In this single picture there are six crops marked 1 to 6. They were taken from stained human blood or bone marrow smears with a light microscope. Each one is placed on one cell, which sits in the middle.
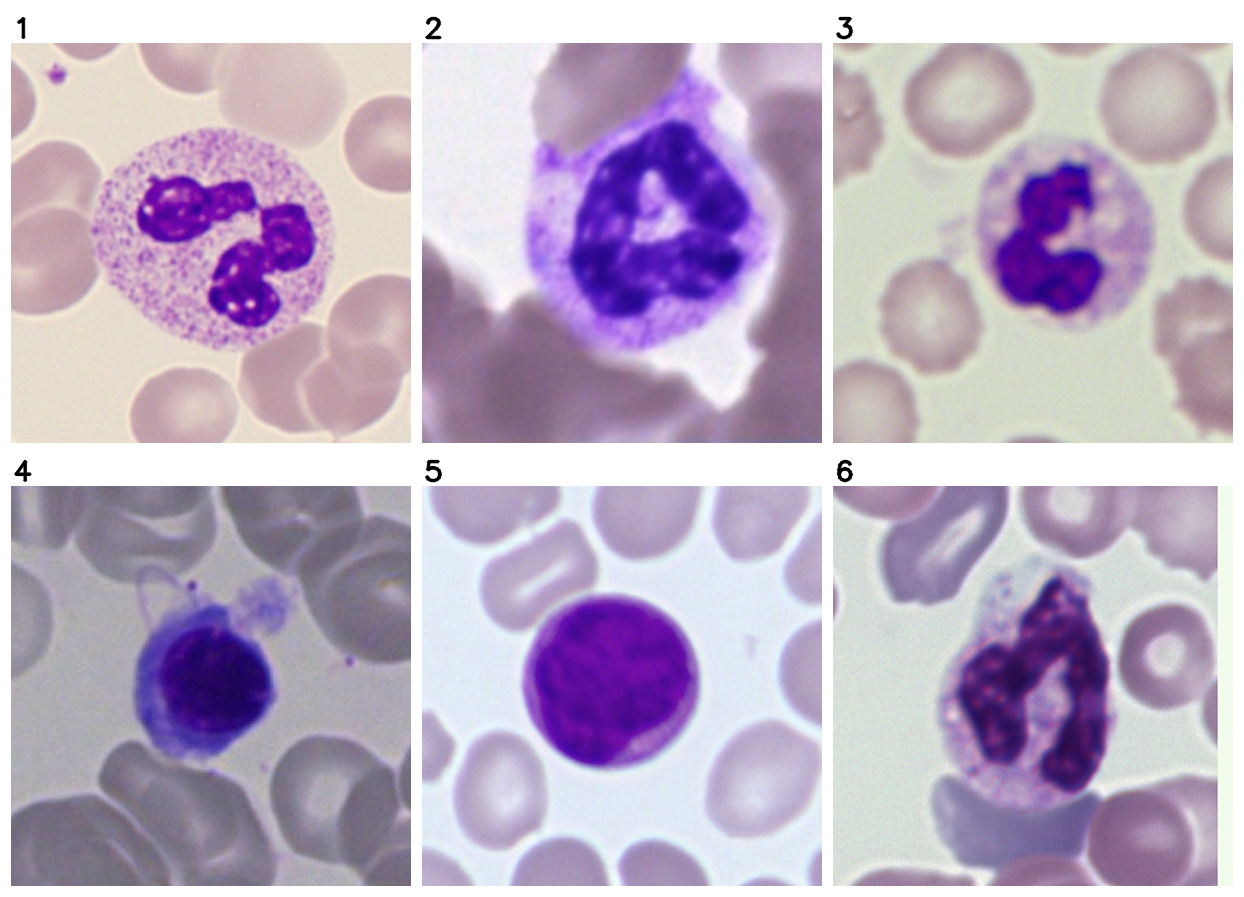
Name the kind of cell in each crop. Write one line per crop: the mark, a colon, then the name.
1: segmented neutrophil
2: segmented neutrophil
3: segmented neutrophil
4: erythroblast
5: blast
6: segmented neutrophil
